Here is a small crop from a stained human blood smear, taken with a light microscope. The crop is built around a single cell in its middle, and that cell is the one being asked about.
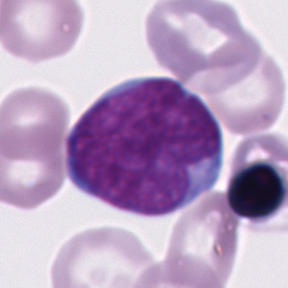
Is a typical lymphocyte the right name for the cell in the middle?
no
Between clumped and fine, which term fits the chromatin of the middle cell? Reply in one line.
The chromatin remains finely textured, with no coarse clumps to speak of.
